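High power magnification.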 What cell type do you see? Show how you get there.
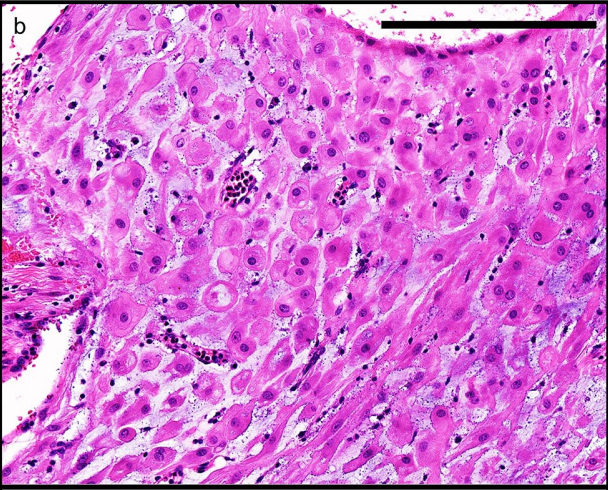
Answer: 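Decidual cells. Large polygonal cells with abundant pink cytoplasm. Round, uniform nuclei placed centrally in the cells. Cells packed in sheets with sharp cell borders.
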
